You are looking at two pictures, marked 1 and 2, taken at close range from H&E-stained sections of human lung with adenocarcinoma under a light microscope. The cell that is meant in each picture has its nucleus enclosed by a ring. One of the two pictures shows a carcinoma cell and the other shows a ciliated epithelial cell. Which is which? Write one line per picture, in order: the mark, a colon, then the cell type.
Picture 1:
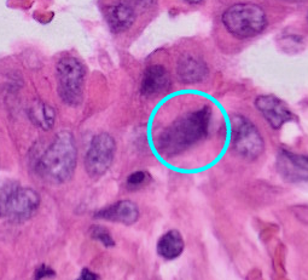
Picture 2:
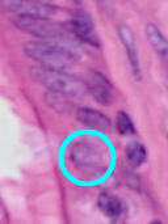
1: carcinoma cell
2: ciliated epithelial cell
